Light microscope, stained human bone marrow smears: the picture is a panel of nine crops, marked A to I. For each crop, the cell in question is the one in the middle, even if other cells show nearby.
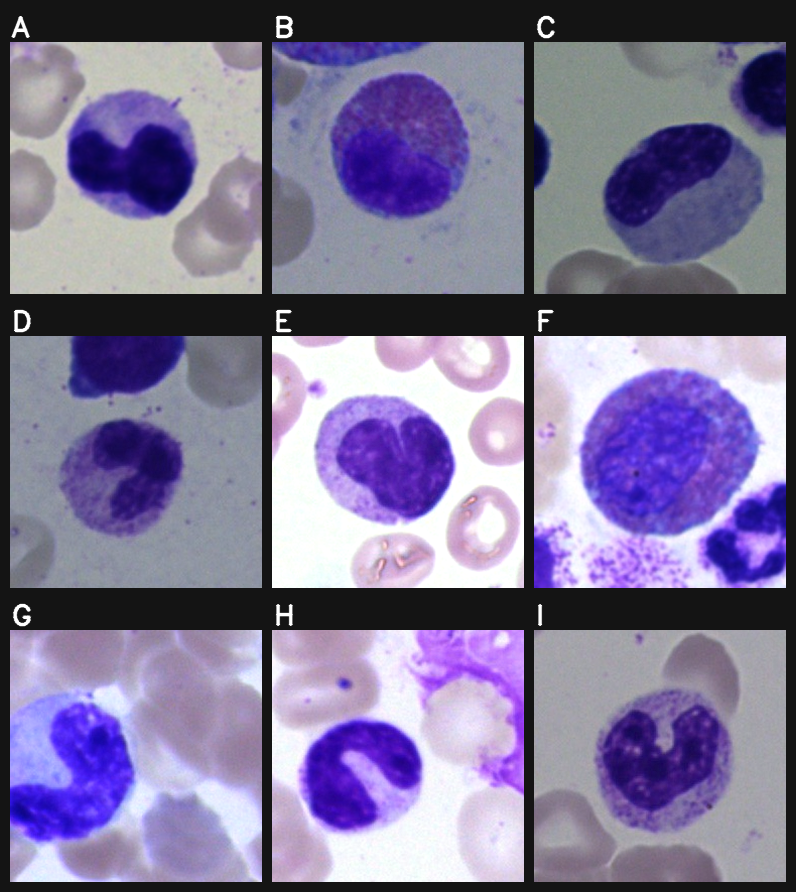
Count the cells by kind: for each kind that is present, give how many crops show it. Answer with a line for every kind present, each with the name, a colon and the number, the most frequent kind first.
band neutrophil: 7
eosinophil: 2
